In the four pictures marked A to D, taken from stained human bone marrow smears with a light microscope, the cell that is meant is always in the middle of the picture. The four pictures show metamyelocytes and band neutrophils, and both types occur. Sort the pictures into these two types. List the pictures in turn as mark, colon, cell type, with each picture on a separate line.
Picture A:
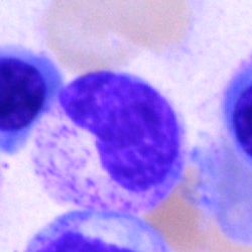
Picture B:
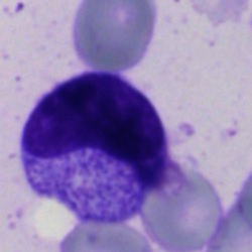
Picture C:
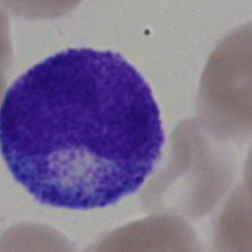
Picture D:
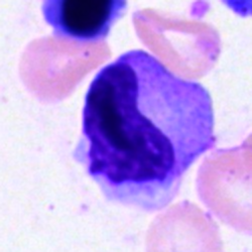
A: metamyelocyte
B: metamyelocyte
C: metamyelocyte
D: band neutrophil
